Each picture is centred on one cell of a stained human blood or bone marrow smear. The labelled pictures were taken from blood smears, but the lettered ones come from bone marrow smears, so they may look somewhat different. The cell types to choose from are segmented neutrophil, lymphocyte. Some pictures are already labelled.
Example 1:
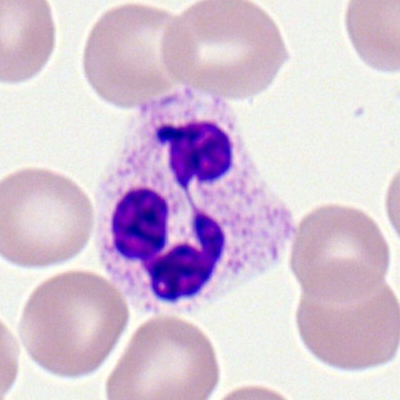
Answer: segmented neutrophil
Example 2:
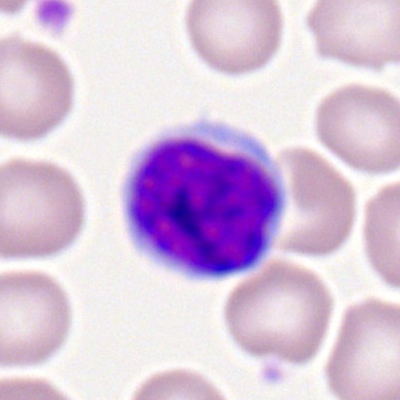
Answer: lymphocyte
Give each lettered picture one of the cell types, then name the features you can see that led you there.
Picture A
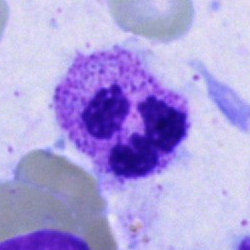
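segmented neutrophil. Reason: Fine purple granules are scattered throughout the cytoplasm.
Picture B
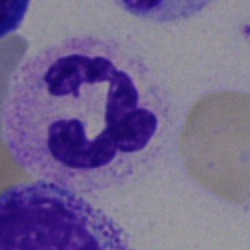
segmented neutrophil. Reason: The cytoplasm is abundant and pale pink.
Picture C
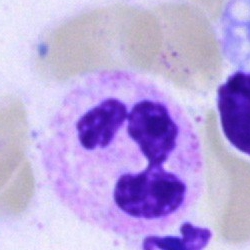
segmented neutrophil. Reason: The cytoplasm is abundant and pale pink.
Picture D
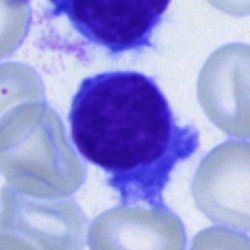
lymphocyte. Reason: The cytoplasm is scant, with the nucleus filling most of the cell.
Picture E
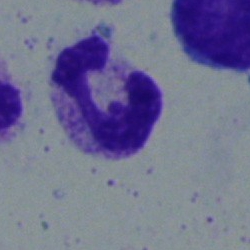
segmented neutrophil. Reason: The nucleus is a thick curved band shaped like a horseshoe, with its open side facing upward.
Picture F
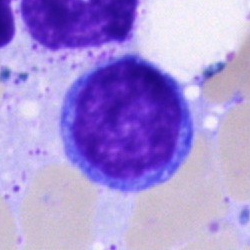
lymphocyte. Reason: The cytoplasm forms only a narrow rim around the nucleus.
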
